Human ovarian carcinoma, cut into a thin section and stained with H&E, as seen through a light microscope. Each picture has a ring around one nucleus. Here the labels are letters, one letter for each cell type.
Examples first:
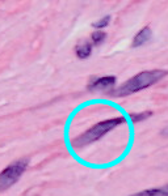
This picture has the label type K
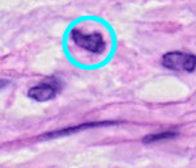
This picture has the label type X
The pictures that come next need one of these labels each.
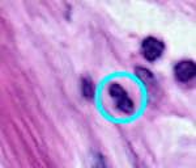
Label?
type X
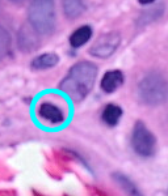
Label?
type X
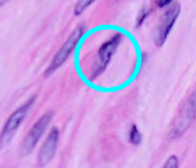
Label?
type K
